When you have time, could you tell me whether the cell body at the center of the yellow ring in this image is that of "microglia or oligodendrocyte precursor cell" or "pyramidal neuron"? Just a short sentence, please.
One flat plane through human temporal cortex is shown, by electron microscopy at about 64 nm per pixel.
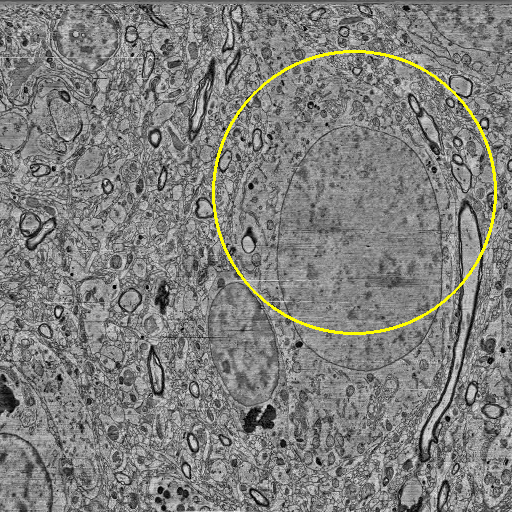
The cell body at the center of the ring is that of a pyramidal neuron.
